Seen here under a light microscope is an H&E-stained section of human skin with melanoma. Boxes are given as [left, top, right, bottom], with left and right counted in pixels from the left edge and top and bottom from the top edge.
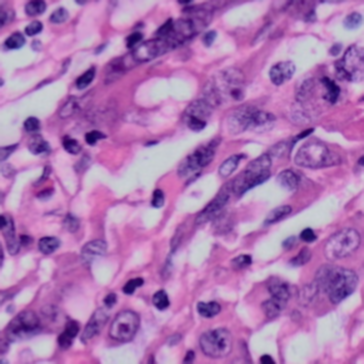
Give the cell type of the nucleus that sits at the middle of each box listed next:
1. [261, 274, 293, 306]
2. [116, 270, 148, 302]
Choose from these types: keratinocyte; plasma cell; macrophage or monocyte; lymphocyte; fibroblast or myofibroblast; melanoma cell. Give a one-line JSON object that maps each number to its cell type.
{"1": "melanoma cell", "2": "lymphocyte"}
